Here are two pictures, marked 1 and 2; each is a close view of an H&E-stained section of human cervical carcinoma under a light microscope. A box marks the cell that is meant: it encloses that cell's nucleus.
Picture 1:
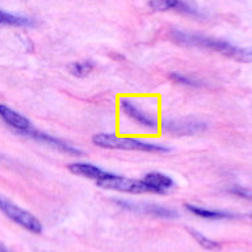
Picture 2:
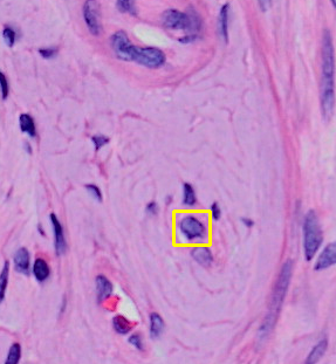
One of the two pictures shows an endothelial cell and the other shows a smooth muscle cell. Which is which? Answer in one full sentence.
Picture 2 shows an endothelial cell, while picture 1 shows a smooth muscle cell.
